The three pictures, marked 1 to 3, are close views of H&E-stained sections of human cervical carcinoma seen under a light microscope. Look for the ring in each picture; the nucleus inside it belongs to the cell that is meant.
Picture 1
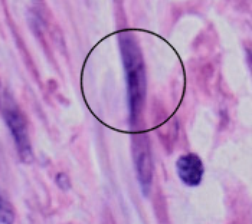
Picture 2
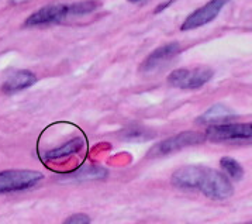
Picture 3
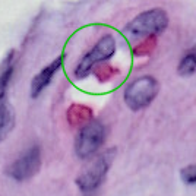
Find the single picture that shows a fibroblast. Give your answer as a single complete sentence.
Picture 1 shows the fibroblast.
